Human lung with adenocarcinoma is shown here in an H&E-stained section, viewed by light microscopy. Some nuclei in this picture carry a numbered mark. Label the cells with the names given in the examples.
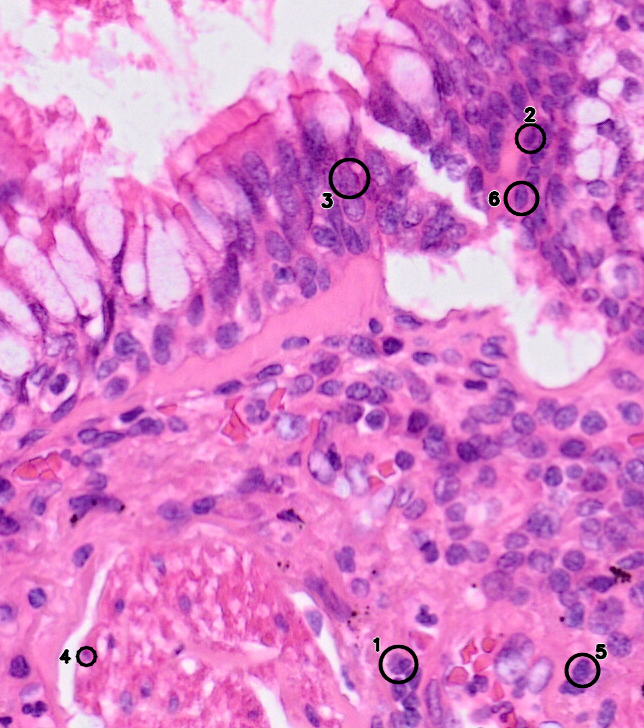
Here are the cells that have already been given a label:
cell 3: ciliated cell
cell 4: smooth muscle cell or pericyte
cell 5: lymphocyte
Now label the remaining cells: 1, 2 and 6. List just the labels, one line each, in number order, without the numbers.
lymphocyte
ciliated cell
ciliated cell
